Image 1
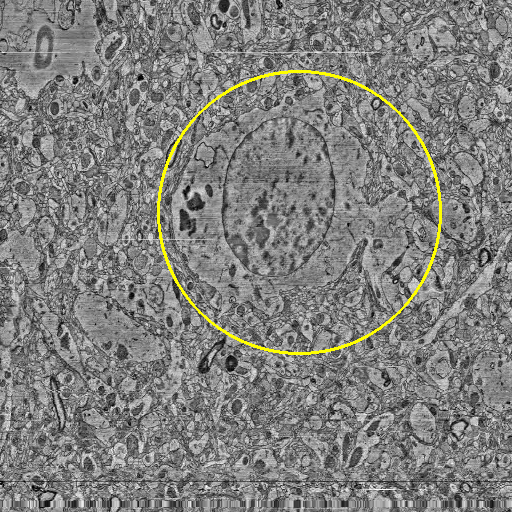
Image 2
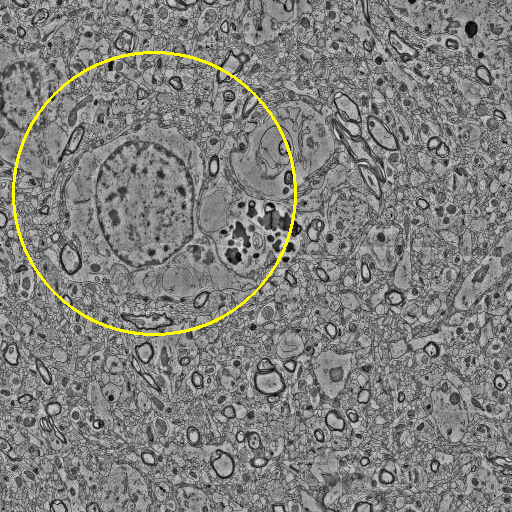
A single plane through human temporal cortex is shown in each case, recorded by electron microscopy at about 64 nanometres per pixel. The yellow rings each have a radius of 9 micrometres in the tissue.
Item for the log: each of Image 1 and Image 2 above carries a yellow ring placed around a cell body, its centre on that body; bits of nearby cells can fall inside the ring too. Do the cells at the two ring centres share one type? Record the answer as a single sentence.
Yes, the two cells at the ring centres in Image 1 and Image 2 share one type.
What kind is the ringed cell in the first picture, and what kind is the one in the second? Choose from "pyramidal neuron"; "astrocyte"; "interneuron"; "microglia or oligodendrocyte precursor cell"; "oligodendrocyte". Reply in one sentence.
The ring centre holds an astrocyte in each of the two pictures.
